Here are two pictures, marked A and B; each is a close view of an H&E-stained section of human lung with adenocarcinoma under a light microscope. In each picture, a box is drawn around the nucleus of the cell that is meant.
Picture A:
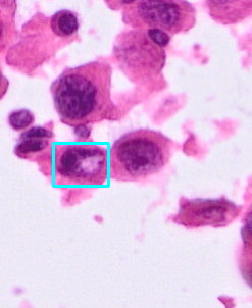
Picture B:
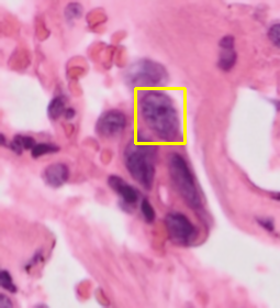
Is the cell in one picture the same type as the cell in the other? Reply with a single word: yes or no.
yes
